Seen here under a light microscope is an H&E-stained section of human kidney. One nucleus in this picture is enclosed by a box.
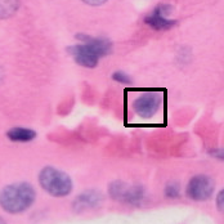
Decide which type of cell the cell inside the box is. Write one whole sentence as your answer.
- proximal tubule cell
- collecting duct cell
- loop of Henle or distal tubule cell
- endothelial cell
For the purposes of cell typing, the cell inside the box is categorized as an endothelial cell.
